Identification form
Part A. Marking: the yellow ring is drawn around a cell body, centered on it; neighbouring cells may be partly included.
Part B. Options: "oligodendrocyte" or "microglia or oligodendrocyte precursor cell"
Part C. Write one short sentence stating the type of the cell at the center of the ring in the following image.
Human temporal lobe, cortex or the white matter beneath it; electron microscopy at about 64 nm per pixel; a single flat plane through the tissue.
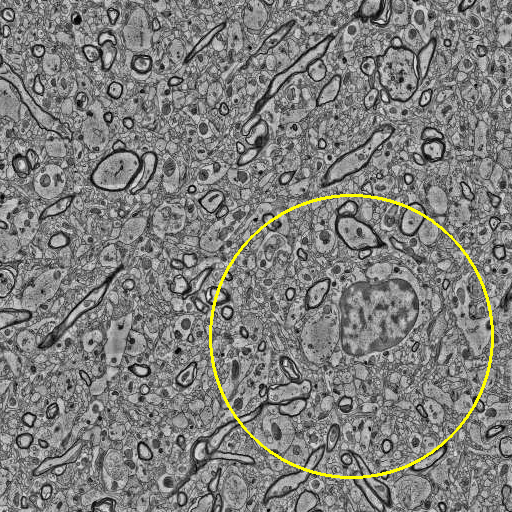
The center of the ring holds a microglial cell or oligodendrocyte precursor cell.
